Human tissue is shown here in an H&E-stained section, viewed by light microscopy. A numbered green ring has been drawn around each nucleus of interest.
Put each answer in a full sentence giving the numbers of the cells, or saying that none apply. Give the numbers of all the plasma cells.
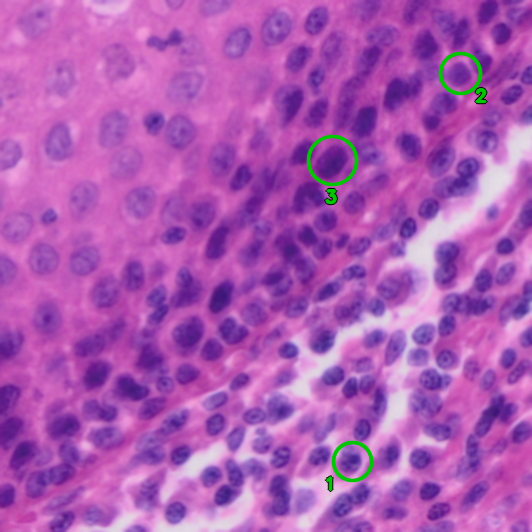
Of the numbered nuclei, only the one labelled 1 belongs to a plasma cell.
